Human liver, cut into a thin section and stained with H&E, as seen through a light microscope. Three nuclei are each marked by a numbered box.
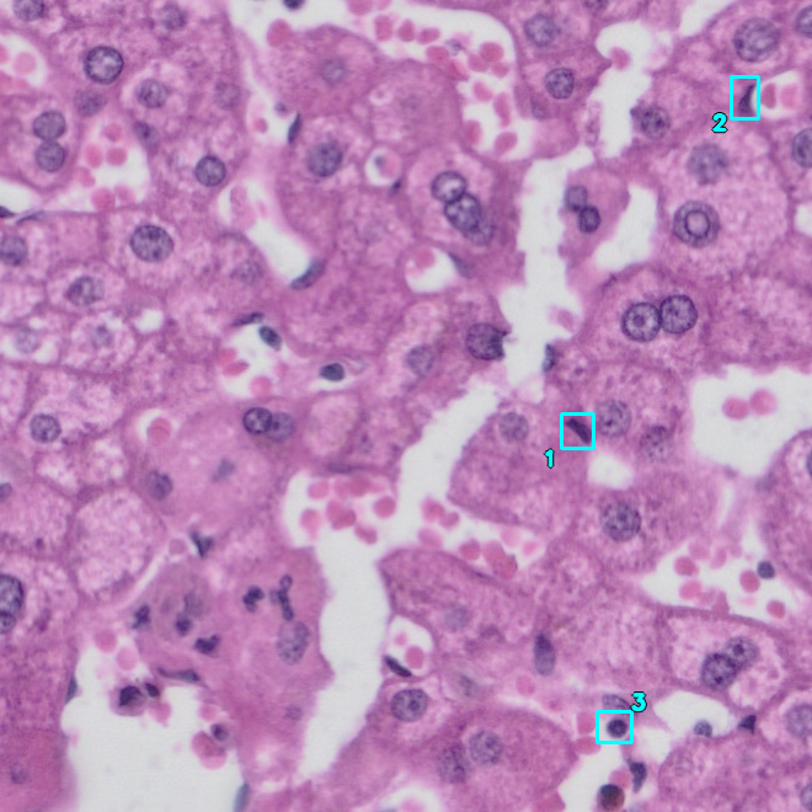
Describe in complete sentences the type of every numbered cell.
Cell 1 is a fibroblast or stellate cell. Cell 2 is an endothelial cell. Cell 3 is a lymphocyte.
